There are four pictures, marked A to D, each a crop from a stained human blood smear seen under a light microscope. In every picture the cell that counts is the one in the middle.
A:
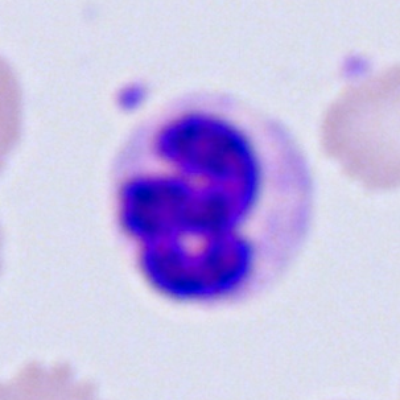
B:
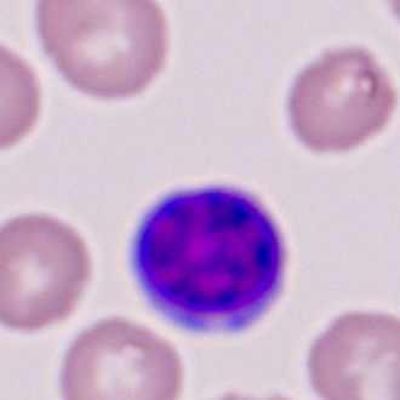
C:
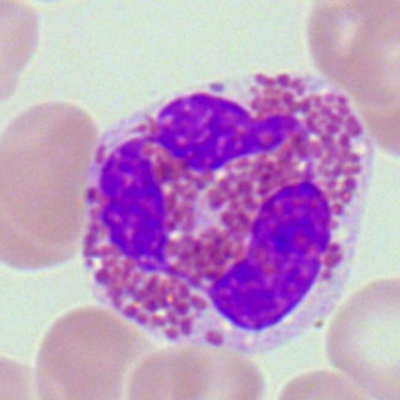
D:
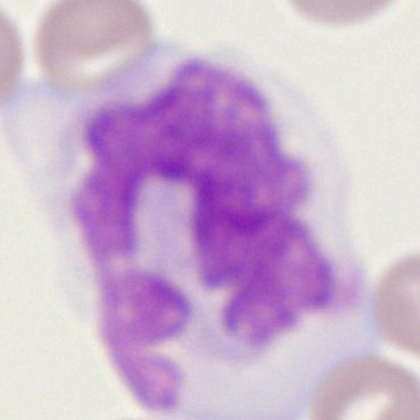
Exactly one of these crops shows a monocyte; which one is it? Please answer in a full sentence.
It is crop D that shows a monocyte.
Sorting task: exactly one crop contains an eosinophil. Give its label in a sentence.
Here the crop that shows an eosinophil is crop C.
